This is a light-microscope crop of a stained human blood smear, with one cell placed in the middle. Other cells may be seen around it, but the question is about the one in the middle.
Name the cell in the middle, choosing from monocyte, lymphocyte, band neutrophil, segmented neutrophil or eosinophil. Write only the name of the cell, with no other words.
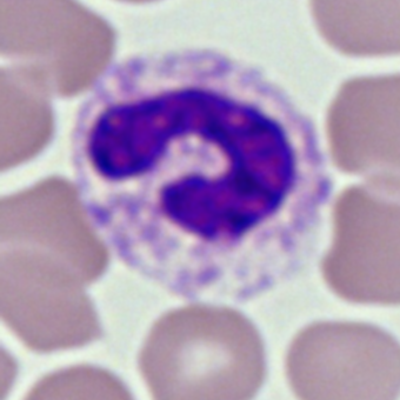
band neutrophil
